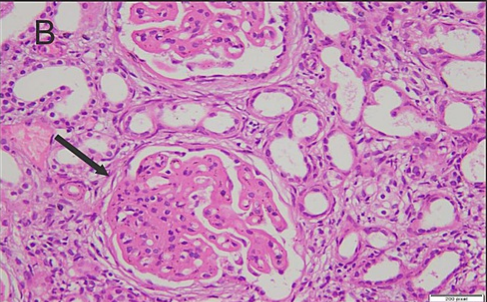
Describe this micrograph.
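High-power view of kidney cortex with a glomerulus in the lower center and part of another at the top, surrounded by tubules and interstitium. Nearby tubules are lined by cuboidal epithelial cells with pale pink cytoplasm and some have wide open lumens.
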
